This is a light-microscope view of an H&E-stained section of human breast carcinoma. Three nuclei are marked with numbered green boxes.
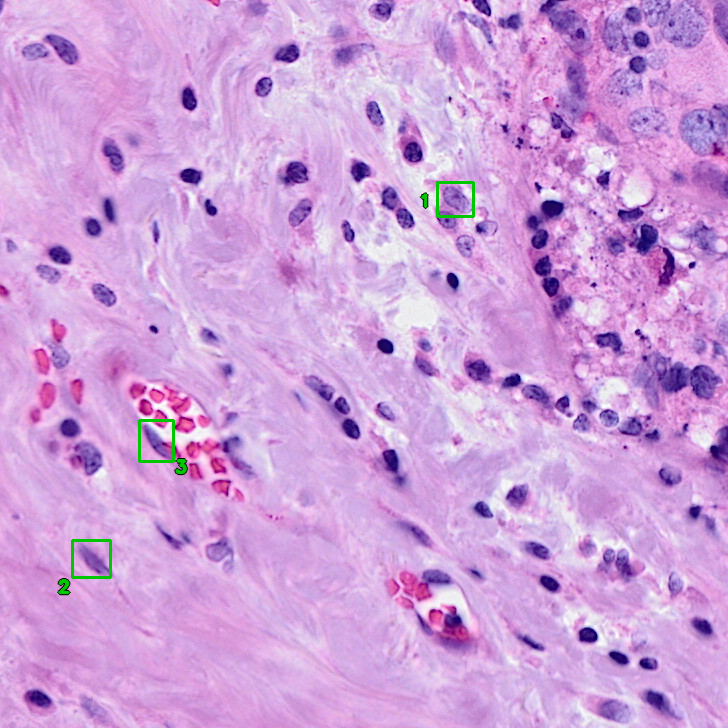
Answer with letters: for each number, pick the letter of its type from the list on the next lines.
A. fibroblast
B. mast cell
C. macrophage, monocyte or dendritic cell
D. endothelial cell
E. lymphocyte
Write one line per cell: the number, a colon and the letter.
1: C
2: A
3: D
